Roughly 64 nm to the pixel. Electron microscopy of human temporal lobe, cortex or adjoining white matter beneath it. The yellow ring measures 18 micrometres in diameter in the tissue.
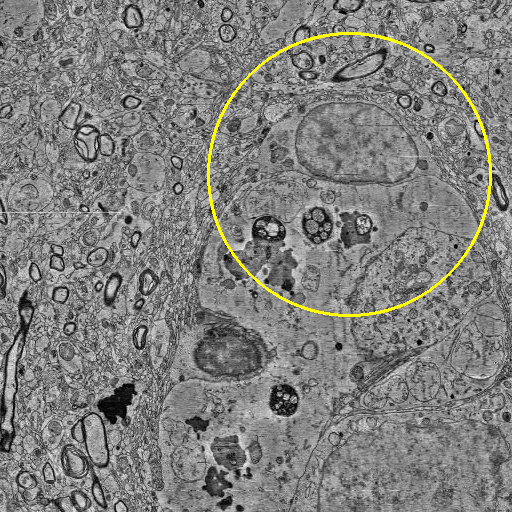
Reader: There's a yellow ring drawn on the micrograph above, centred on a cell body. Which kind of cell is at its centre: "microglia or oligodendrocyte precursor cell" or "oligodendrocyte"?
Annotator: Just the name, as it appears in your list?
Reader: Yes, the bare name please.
oligodendrocyte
